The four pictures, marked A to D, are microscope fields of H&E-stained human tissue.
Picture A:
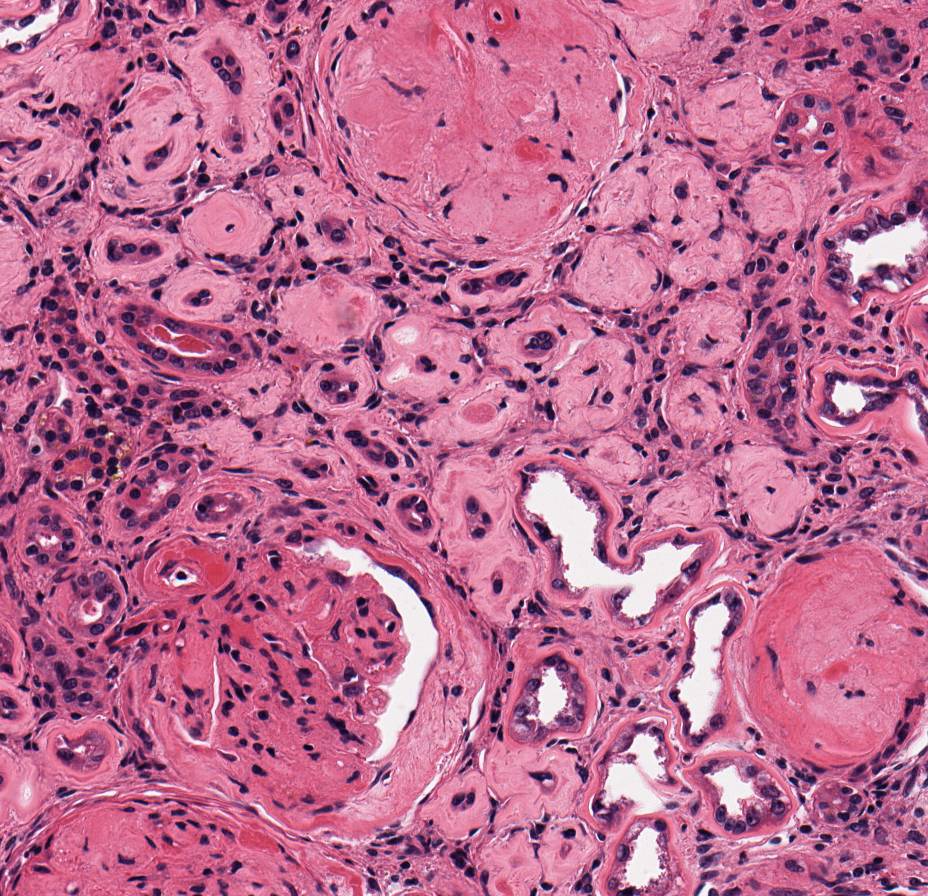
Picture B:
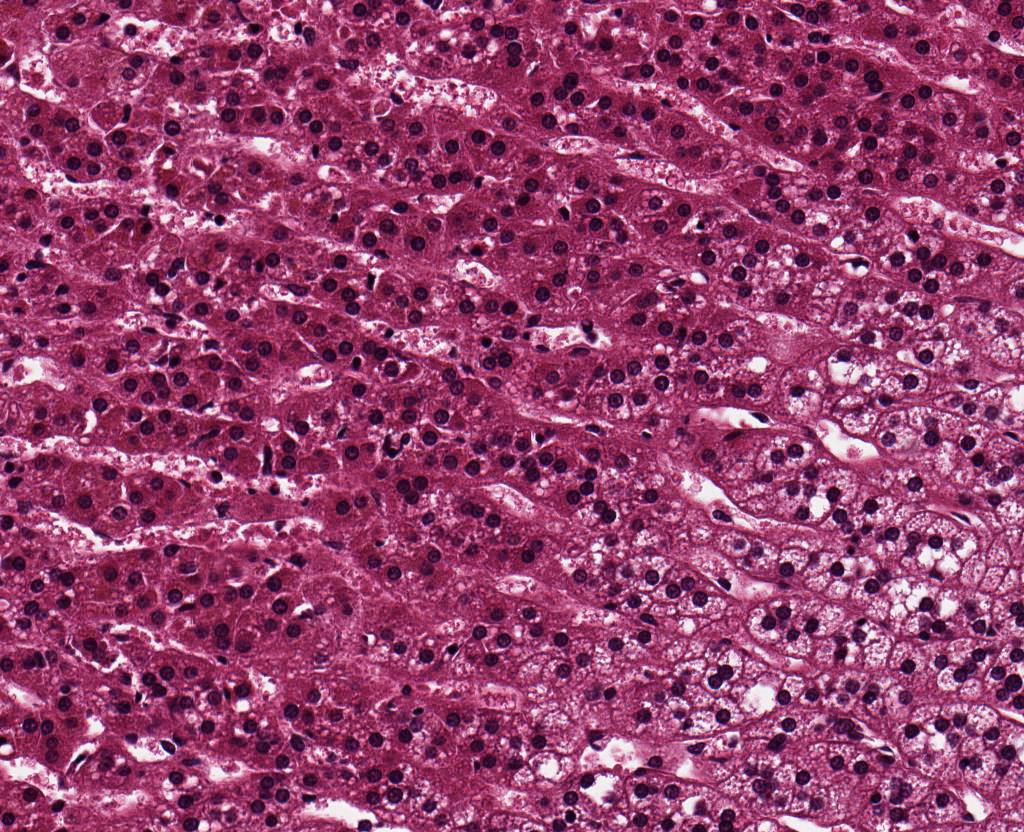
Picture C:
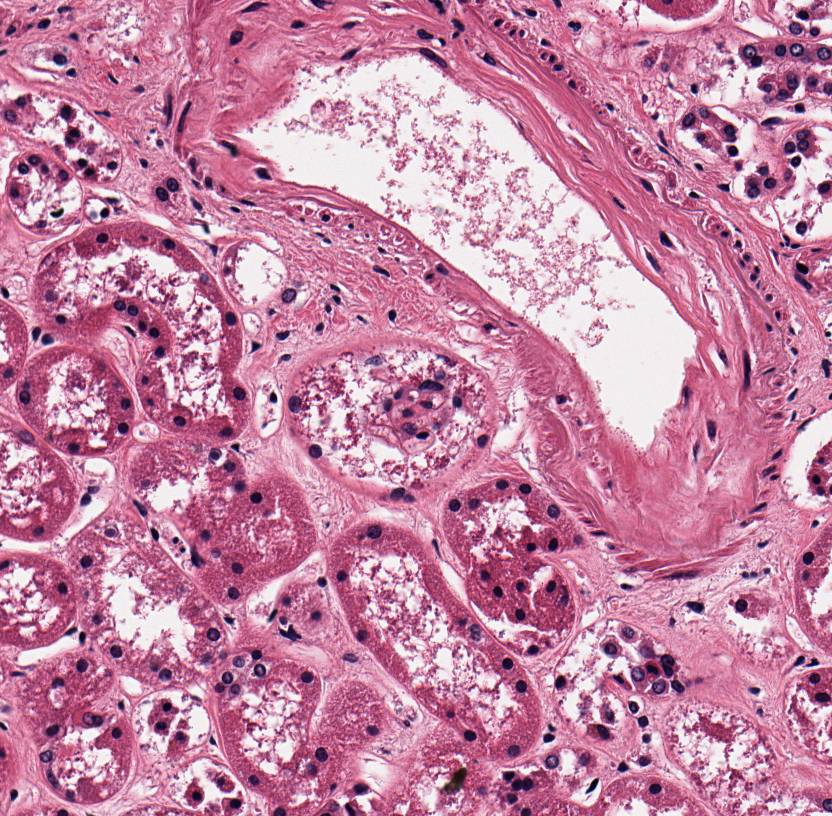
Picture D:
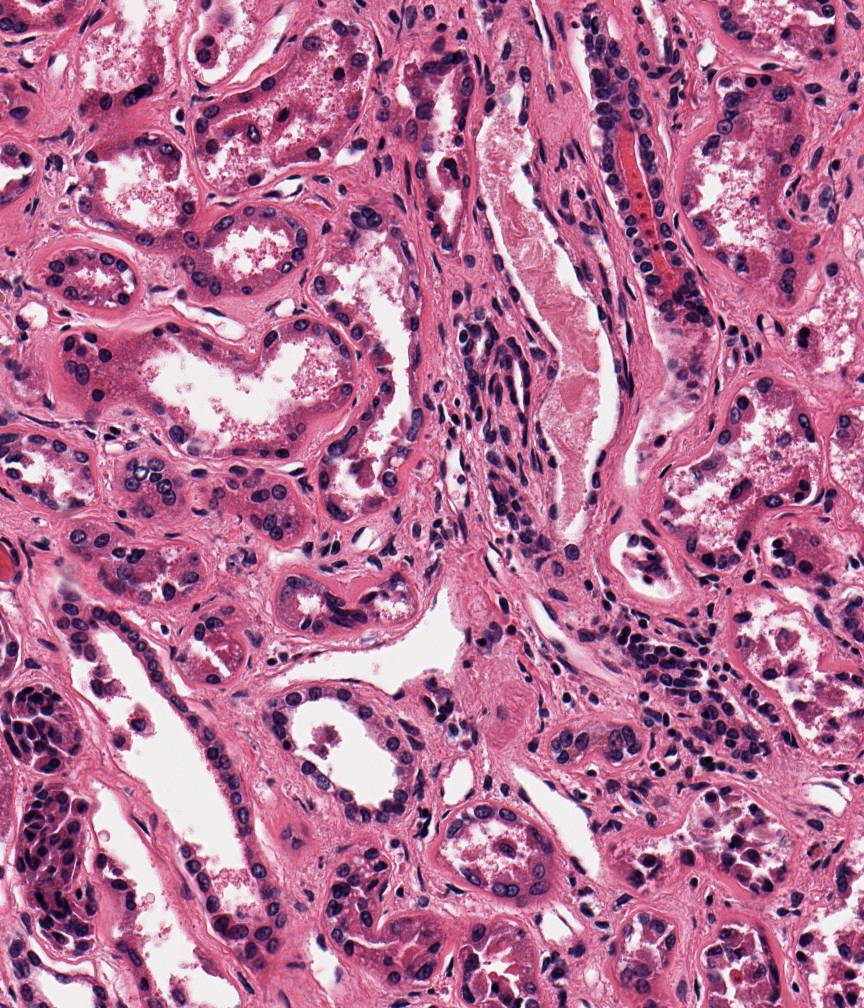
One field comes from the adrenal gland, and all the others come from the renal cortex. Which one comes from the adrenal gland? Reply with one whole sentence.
Picture B is the field that comes from the adrenal gland.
